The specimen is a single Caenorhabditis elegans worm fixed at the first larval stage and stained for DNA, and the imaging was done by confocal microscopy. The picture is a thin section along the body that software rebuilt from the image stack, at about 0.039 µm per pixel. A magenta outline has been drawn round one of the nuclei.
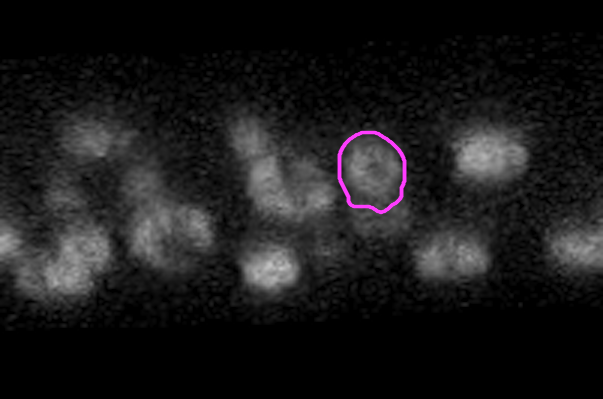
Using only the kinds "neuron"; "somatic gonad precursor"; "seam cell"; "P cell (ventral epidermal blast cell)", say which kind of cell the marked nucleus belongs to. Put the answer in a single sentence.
The marked cell is a somatic gonad precursor.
